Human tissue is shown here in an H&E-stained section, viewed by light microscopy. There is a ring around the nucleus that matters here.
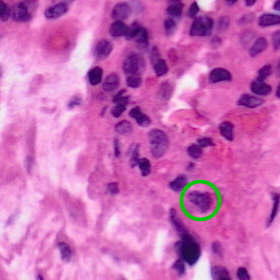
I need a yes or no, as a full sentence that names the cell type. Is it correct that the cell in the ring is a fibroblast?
No, mark the cell in the ring as a macrophage or monocyte, not as a fibroblast.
